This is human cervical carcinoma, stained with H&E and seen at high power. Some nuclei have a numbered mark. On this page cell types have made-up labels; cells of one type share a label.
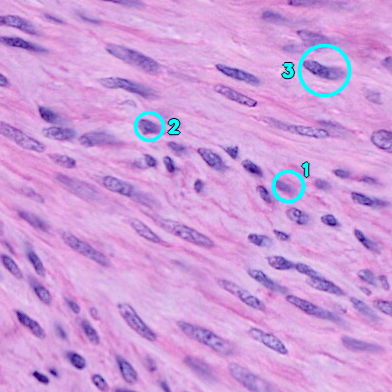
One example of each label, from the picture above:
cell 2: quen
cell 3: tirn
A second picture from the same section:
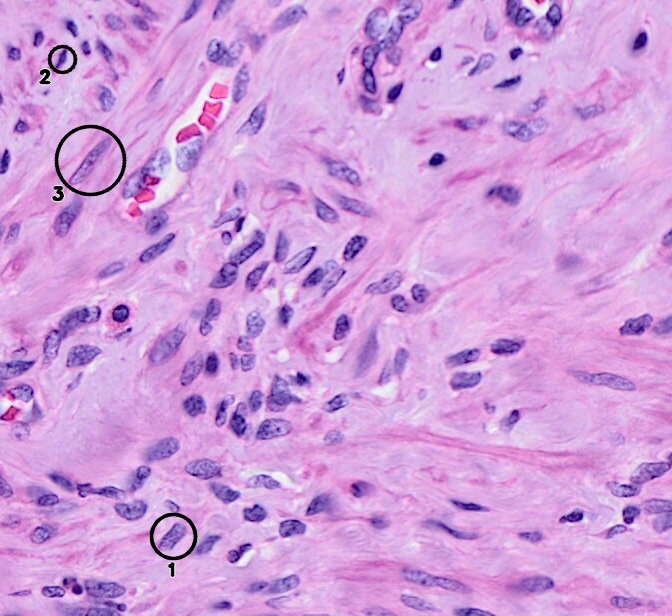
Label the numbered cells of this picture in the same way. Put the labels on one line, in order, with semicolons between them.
tirn; quen; quen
